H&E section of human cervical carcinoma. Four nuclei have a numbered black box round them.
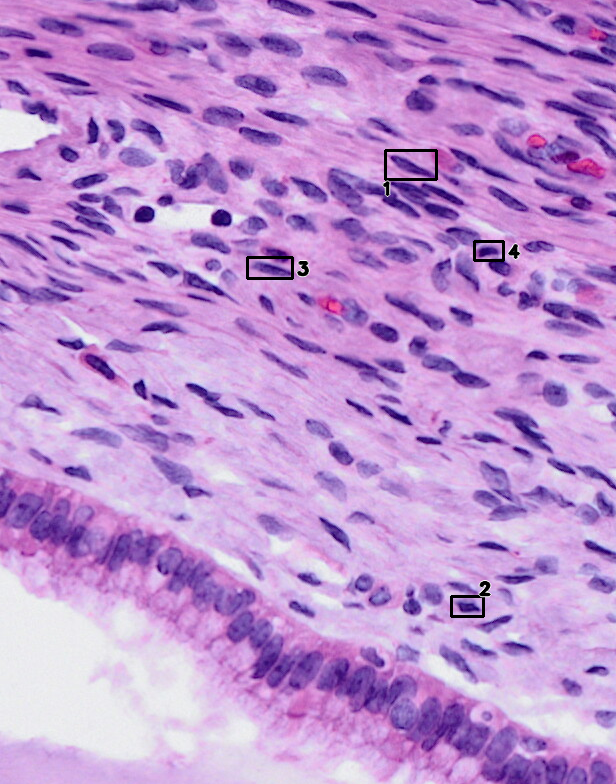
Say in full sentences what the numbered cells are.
Cells 1, 2 and 3 are fibroblasts. Cell 4 is a lymphocyte.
